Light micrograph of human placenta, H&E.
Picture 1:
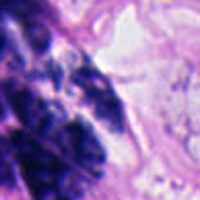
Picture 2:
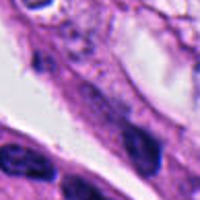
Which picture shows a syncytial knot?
Picture 1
